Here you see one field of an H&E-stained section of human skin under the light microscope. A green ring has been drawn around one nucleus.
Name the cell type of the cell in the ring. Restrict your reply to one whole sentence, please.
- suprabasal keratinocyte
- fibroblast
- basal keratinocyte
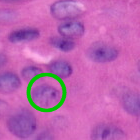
The expected answer is simply that the cell in the ring is a suprabasal keratinocyte.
